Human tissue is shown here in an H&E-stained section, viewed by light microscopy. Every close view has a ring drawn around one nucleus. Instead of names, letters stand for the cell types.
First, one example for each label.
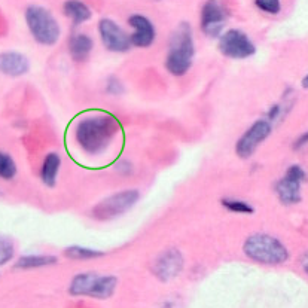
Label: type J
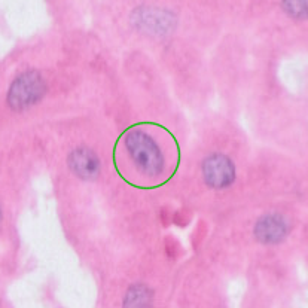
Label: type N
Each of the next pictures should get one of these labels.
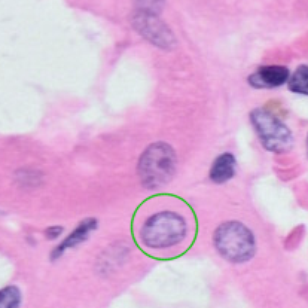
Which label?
type N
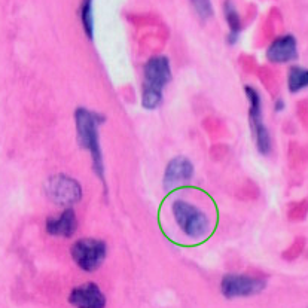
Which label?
type J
